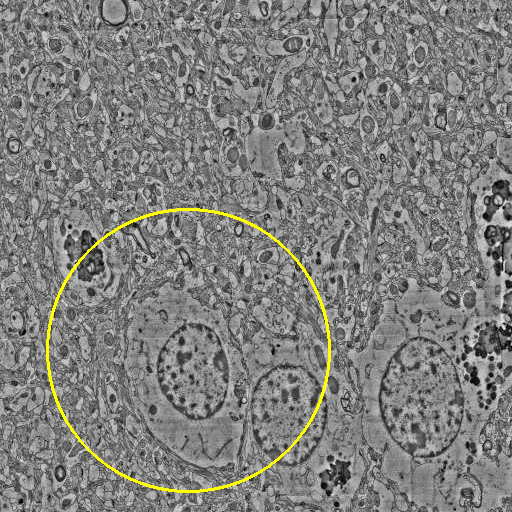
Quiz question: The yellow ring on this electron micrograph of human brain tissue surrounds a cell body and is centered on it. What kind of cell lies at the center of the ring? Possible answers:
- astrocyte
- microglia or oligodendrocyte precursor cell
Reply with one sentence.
The ring's center lies on an astrocyte.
